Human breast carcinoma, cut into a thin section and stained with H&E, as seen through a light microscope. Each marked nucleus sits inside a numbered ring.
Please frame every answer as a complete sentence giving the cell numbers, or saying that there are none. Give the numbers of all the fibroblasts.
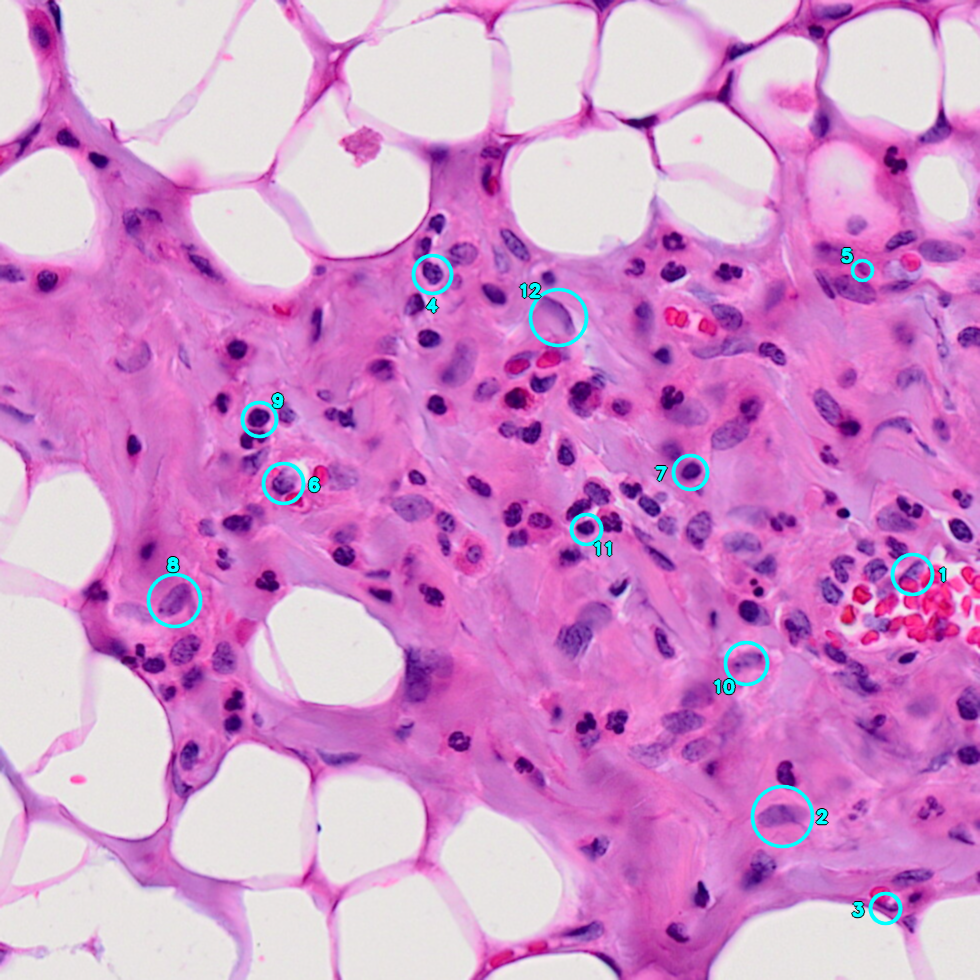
Cells 2, 8 and 12 are fibroblasts by cell type.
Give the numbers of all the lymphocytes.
Cells 4, 7, 9 and 11 are classified as lymphocytes.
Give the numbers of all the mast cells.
Only cell 10 should be marked as a mast cell.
